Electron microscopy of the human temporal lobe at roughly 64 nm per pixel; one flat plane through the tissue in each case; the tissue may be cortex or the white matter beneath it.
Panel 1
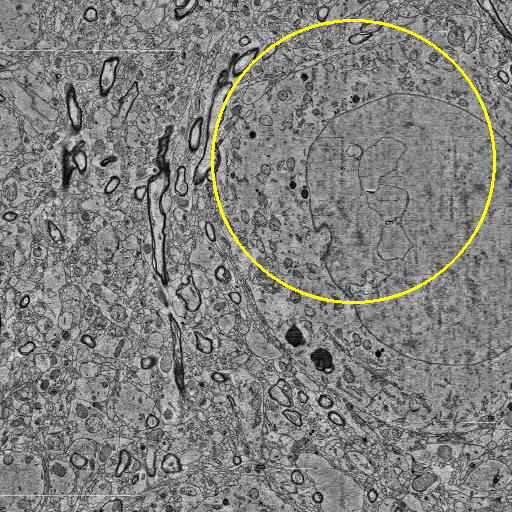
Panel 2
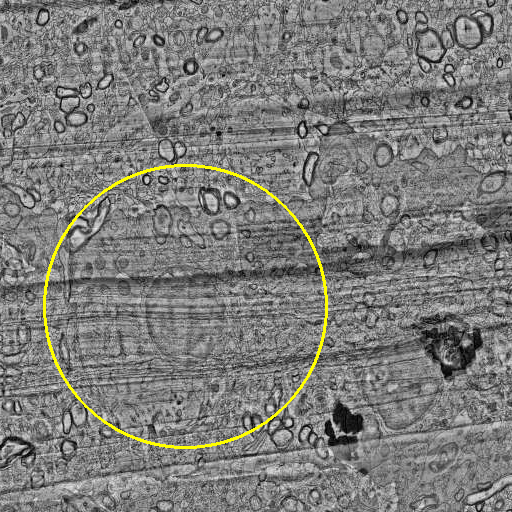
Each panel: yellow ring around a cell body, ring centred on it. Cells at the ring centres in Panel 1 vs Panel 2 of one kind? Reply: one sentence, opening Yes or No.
No, Panel 1 and Panel 2 have cells of two kinds at the ring centres.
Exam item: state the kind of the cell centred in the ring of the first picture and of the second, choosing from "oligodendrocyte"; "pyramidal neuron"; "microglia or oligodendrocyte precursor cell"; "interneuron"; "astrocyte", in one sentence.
The first picture shows a pyramidal neuron at the ring centre and the second shows an oligodendrocyte.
